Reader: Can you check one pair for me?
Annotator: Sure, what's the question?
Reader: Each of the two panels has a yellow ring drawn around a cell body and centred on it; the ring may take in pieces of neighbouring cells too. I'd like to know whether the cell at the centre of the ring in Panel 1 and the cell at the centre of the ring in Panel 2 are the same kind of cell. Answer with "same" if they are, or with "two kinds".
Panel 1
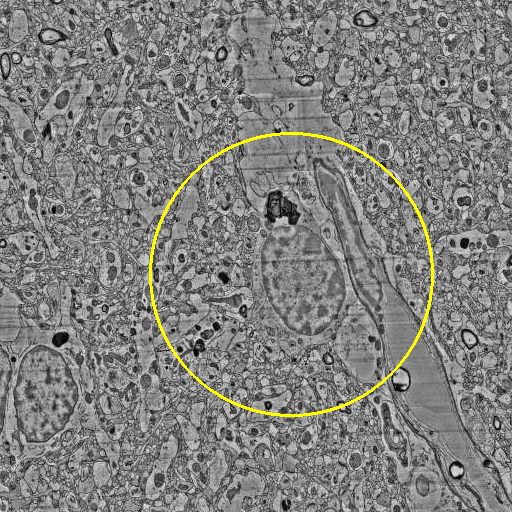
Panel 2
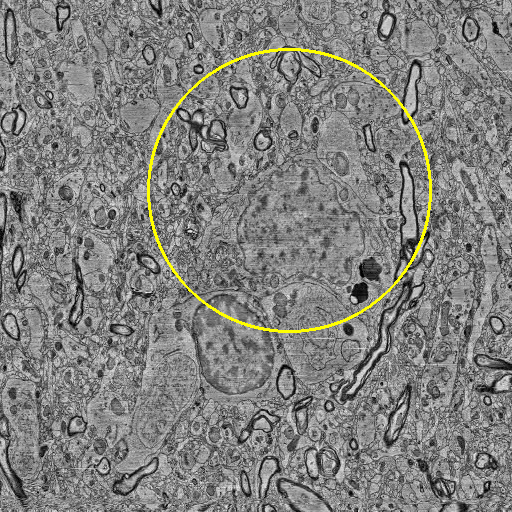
two kinds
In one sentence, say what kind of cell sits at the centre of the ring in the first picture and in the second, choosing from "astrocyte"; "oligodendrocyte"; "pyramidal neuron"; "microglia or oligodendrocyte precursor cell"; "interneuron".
The first picture's ringed cell is an oligodendrocyte, while the second picture's is an interneuron.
